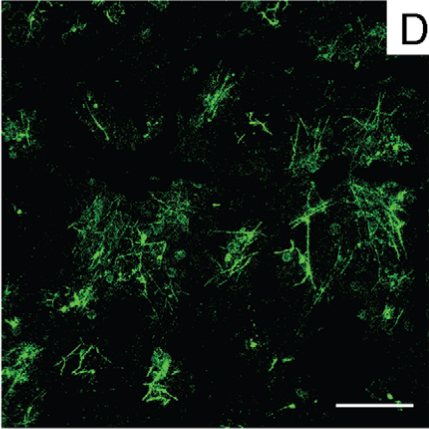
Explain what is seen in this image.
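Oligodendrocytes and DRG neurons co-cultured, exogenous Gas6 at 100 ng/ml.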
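The segments lie in loose bundles and criss-crossing groups spread over most of the field. Rounded green cell bodies with fine processes sit among the segment clusters.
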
